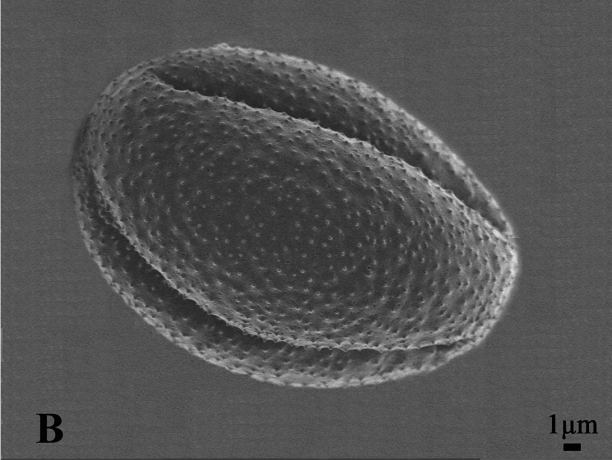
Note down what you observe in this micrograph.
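This is a single pollen grain seen from the side, with an elongated oval outline. Long furrows run along its length from one end to the other. The whole wall is studded with tiny evenly scattered point-like projections on a smooth background.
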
